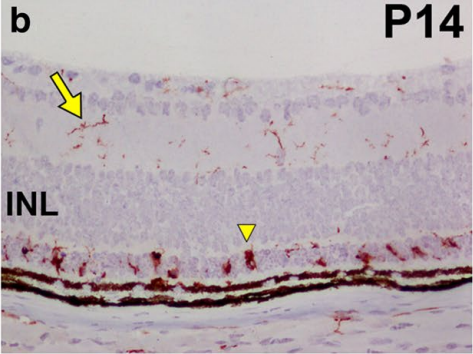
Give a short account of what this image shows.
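This transverse section of degenerating retina shows brown-stained microglia. In the inner retina they still have fine branching processes. The outer nuclear layer is thin, only a few rows of nuclei deep, and above the dark pigmented band it holds many brown cells. These cells have compact, rounded bodies with short, thick processes. Beneath the pigmented band lies loose connective tissue of the eye wall.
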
